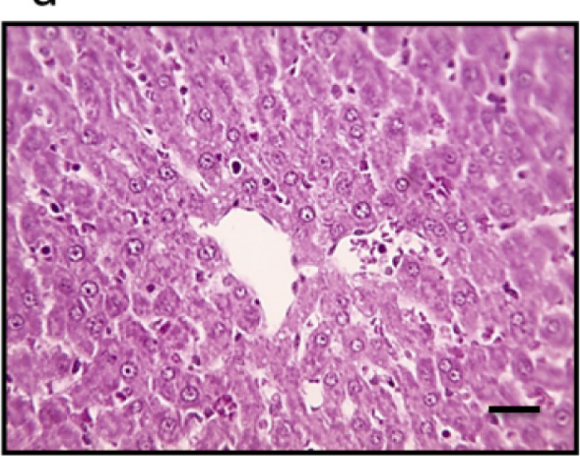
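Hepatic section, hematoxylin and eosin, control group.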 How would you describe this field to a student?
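Liver tissue in which polygonal hepatocytes with pink cytoplasm and round, centrally placed nuclei with visible nucleoli are arranged in cords. The cords run outward from a large, irregular, empty vessel lumen near the center, with a smaller vessel beside it containing some cells. Between the cords lie narrow pale spaces, the sinusoids, lined by a few small, flat, dark nuclei. Some hepatocytes show two nuclei. The cytoplasm is evenly stained, without clear vacuoles, and the overall arrangement is orderly and regular across the field.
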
